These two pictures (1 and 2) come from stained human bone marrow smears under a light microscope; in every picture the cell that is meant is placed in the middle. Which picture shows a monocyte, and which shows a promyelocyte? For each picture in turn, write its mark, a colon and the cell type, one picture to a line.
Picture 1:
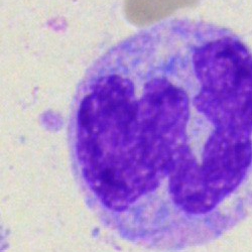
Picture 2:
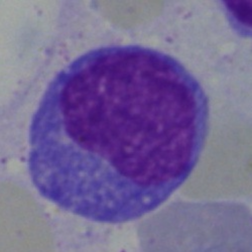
1: monocyte
2: promyelocyte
